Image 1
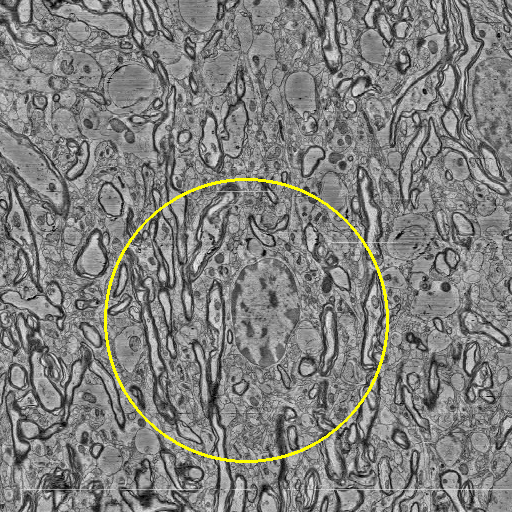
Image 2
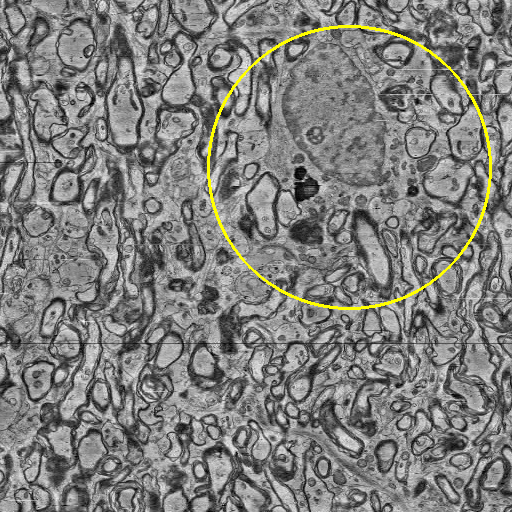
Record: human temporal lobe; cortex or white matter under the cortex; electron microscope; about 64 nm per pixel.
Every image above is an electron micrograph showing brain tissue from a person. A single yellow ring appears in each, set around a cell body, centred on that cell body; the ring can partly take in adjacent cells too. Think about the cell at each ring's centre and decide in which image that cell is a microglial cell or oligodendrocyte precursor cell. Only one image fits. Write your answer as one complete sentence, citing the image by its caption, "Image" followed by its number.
Image 1 is the one whose ringed central cell fits the description.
